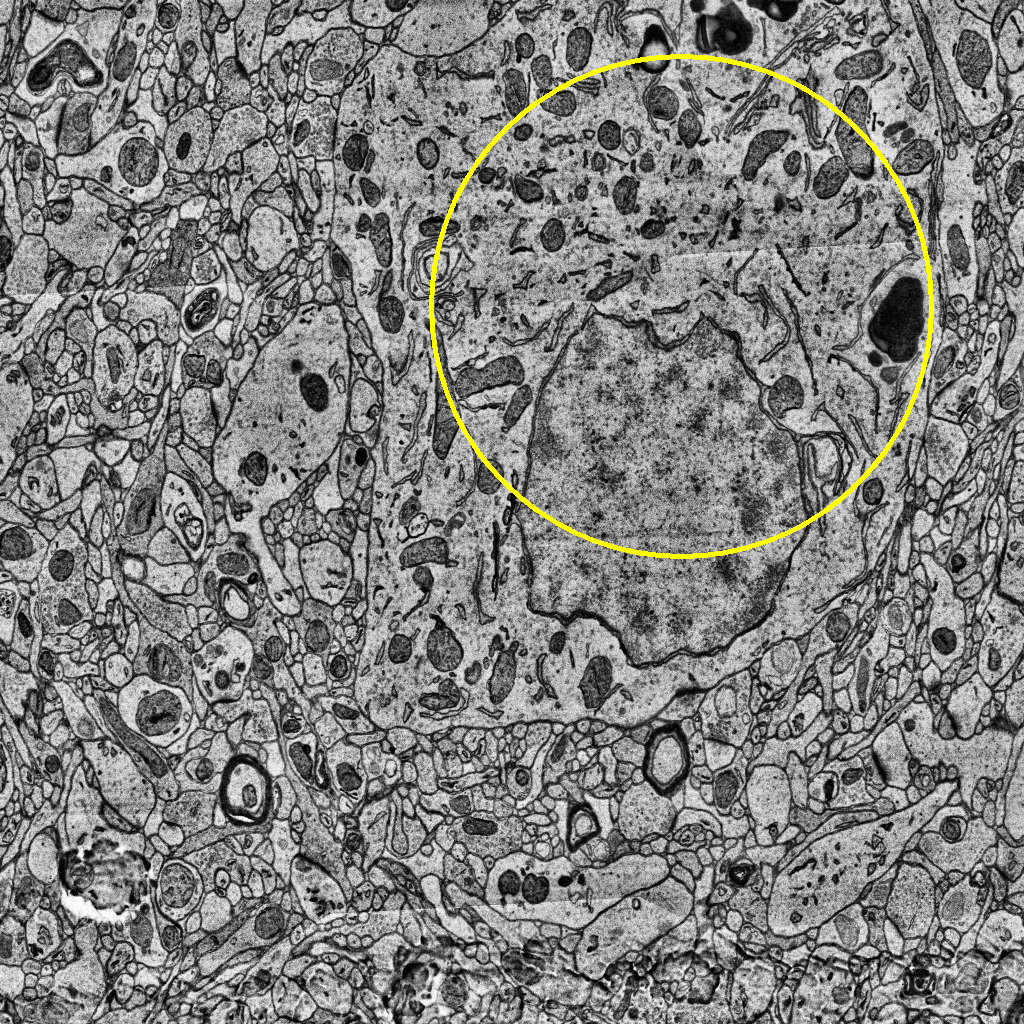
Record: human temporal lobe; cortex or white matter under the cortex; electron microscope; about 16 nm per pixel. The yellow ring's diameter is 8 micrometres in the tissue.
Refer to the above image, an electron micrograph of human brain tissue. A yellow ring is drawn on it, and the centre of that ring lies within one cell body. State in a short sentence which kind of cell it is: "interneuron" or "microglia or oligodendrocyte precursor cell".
The centre of the ring falls on an interneuron.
